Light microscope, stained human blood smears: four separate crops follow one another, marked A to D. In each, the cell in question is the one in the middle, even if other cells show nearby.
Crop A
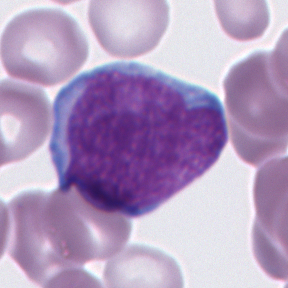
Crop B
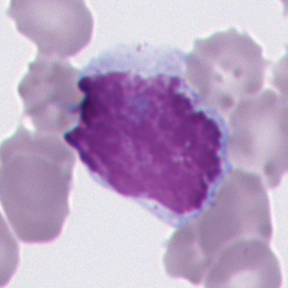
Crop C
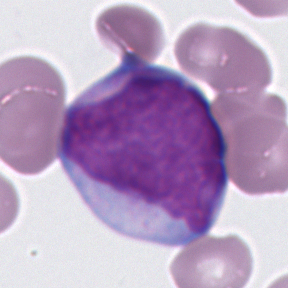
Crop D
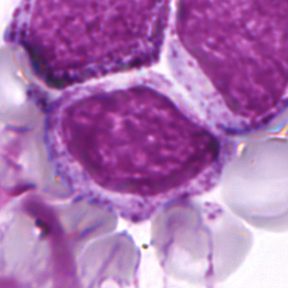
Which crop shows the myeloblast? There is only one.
A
